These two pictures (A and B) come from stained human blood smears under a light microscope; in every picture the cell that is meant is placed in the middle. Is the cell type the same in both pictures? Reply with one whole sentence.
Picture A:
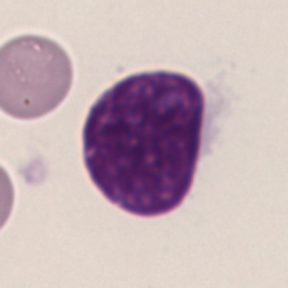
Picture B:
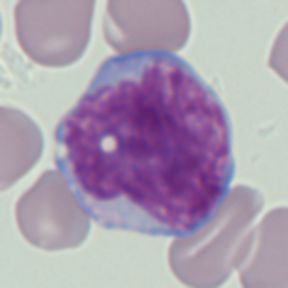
No, the types are not the same, since picture A shows a smudge cell and picture B a myeloblast.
